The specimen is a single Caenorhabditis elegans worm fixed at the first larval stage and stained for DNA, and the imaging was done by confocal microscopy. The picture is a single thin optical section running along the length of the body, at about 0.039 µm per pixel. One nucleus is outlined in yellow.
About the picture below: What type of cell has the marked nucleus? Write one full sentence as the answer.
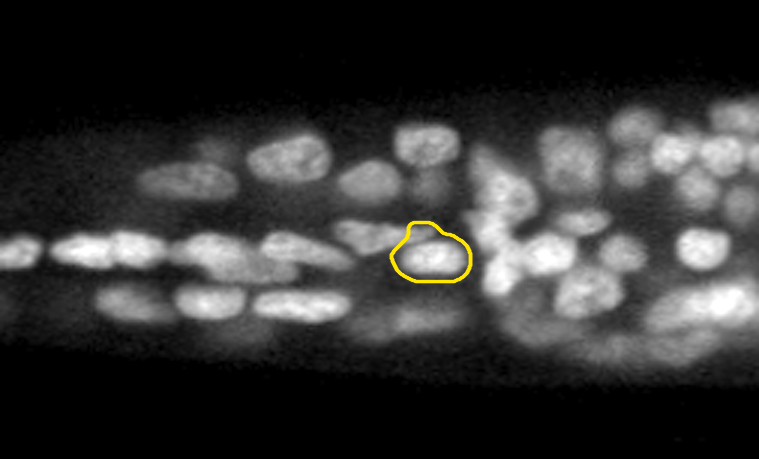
The marked nucleus belongs to a neuron.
